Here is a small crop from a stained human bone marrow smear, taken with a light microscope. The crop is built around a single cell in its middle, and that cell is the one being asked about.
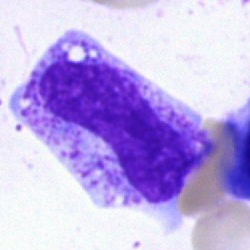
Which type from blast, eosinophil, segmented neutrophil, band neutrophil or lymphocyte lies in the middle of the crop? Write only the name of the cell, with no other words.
band neutrophil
